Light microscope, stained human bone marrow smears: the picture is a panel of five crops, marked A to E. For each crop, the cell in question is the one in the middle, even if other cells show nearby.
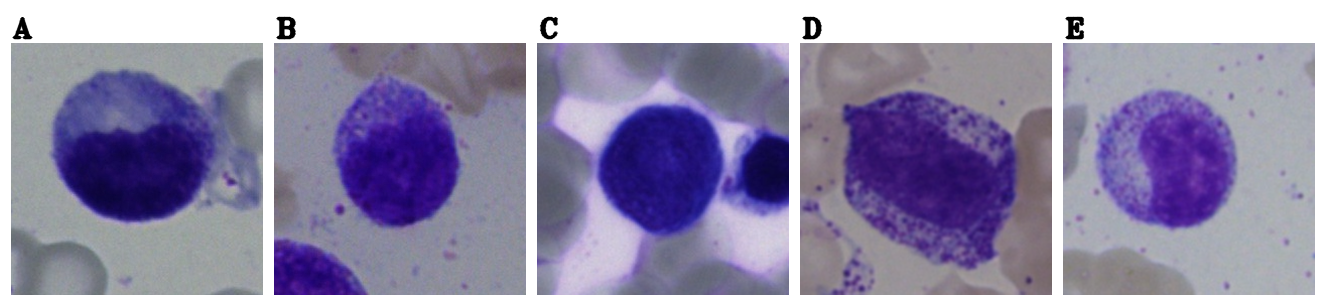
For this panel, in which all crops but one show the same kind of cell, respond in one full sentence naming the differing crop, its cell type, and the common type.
Crop C is the outlier, with a blast against myelocytes in the rest.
